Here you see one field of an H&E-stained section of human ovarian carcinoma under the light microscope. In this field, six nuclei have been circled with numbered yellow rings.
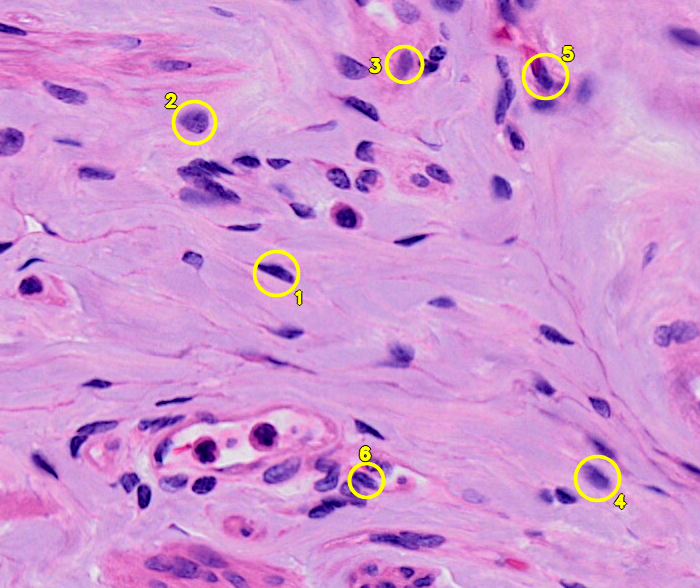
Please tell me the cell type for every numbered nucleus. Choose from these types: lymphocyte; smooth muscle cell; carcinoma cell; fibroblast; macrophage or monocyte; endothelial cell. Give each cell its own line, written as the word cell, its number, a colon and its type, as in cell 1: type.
cell 1: fibroblast
cell 2: fibroblast
cell 3: endothelial cell
cell 4: fibroblast
cell 5: endothelial cell
cell 6: endothelial cell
